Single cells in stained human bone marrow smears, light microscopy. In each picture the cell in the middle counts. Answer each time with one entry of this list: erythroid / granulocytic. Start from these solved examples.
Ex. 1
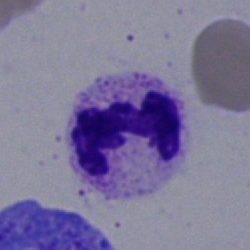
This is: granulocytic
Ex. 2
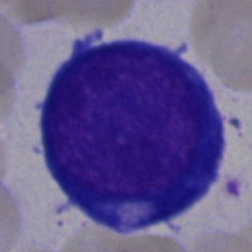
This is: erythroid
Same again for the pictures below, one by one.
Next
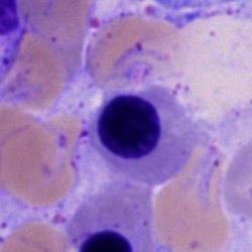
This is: erythroid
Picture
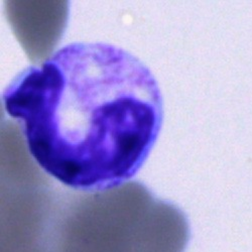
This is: granulocytic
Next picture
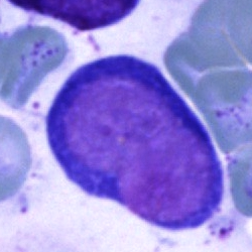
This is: erythroid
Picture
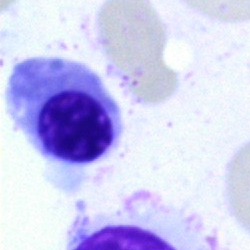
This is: erythroid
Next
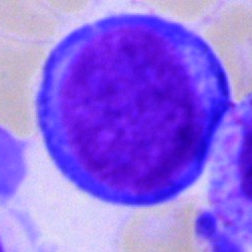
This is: erythroid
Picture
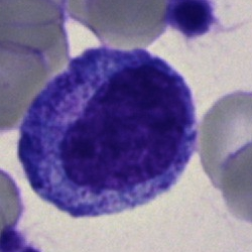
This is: granulocytic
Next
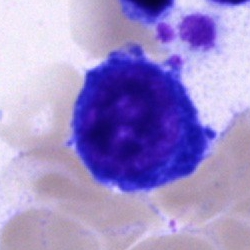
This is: erythroid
